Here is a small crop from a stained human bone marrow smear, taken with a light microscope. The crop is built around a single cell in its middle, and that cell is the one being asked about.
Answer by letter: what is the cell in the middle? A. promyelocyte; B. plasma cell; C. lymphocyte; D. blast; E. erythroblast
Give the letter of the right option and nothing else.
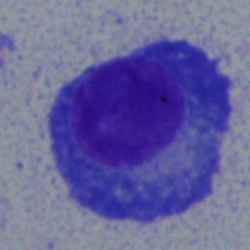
B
